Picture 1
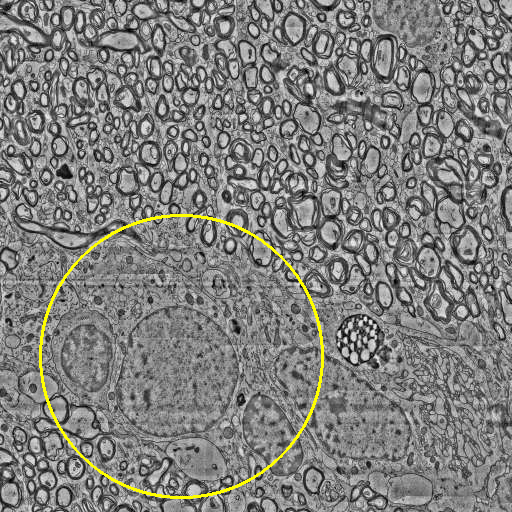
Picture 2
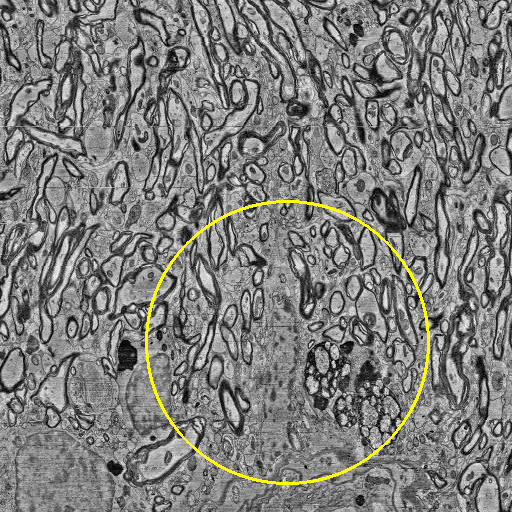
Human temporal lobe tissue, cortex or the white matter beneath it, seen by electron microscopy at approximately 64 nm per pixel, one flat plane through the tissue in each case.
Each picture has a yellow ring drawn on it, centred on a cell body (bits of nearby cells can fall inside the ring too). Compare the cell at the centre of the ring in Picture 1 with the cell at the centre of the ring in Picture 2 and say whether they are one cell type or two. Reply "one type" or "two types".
one type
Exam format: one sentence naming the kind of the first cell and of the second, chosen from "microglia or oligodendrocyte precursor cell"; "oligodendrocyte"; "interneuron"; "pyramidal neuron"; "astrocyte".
Both pictures show an astrocyte at the centre of the ring.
